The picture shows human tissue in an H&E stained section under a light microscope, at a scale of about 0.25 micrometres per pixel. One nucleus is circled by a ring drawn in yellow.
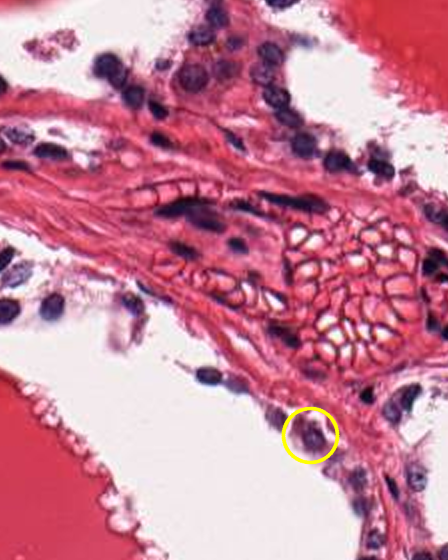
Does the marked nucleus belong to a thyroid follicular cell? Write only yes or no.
yes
